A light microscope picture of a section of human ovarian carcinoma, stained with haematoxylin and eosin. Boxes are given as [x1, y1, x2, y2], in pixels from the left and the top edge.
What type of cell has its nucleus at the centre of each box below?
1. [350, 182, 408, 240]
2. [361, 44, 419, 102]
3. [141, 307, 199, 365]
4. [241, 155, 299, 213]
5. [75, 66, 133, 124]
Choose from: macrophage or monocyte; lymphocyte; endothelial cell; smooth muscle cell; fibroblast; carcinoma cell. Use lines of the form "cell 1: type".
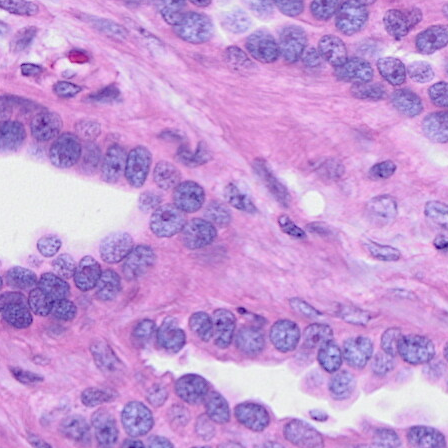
cell 1: fibroblast
cell 2: carcinoma cell
cell 3: carcinoma cell
cell 4: fibroblast
cell 5: fibroblast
